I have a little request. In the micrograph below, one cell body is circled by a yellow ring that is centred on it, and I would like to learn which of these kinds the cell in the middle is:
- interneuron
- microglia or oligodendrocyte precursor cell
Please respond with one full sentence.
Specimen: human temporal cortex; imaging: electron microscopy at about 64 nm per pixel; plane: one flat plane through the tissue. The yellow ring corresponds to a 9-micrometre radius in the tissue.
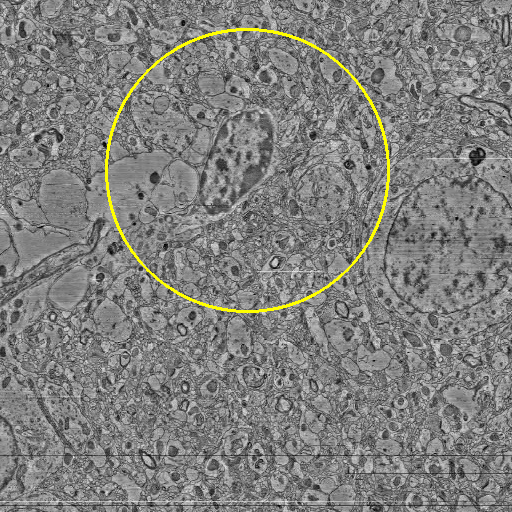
The cell sitting in the middle of the yellow ring in the micrograph is a microglial cell or oligodendrocyte precursor cell.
